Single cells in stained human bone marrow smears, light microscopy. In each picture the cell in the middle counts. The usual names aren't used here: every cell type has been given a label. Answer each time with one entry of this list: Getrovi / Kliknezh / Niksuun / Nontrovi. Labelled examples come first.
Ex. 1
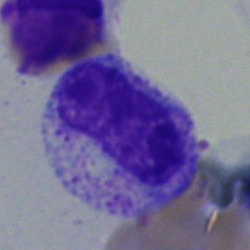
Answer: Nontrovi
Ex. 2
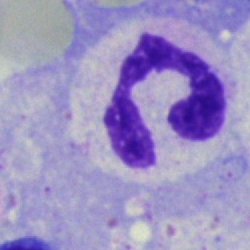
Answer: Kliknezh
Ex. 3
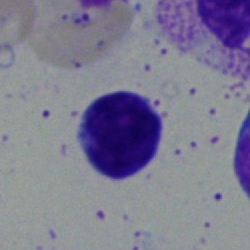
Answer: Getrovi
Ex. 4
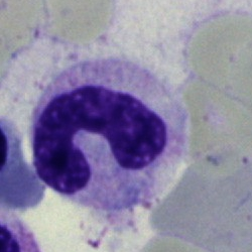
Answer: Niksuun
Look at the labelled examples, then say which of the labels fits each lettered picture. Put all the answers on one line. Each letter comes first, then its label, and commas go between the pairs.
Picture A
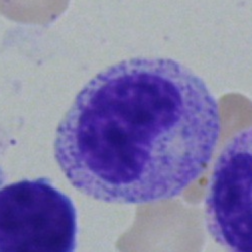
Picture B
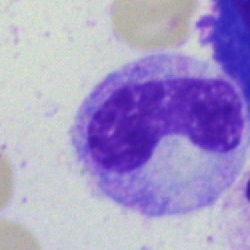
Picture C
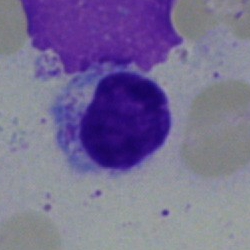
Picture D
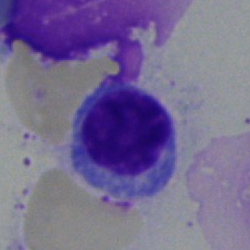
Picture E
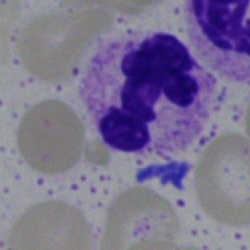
A Nontrovi, B Niksuun, C Getrovi, D Getrovi, E Kliknezh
